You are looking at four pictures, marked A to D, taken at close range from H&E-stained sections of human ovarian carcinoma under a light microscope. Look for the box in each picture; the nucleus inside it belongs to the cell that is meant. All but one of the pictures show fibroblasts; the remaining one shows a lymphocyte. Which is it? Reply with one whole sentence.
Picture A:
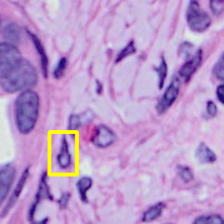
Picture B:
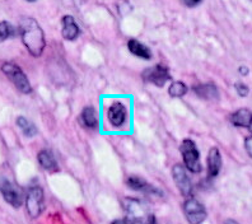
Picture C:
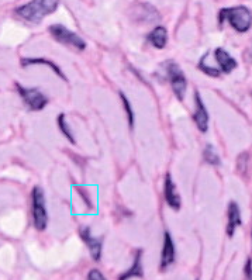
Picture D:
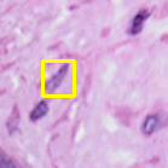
The cell in picture B is the lymphocyte.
